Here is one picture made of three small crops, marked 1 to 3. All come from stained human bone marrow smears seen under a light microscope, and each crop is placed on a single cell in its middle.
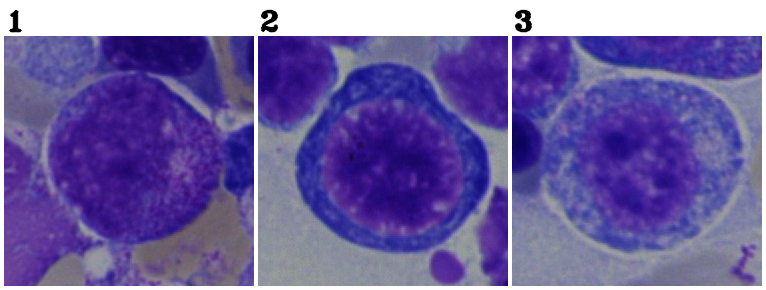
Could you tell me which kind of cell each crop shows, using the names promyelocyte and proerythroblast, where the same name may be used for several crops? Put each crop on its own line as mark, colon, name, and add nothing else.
1: promyelocyte
2: proerythroblast
3: promyelocyte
